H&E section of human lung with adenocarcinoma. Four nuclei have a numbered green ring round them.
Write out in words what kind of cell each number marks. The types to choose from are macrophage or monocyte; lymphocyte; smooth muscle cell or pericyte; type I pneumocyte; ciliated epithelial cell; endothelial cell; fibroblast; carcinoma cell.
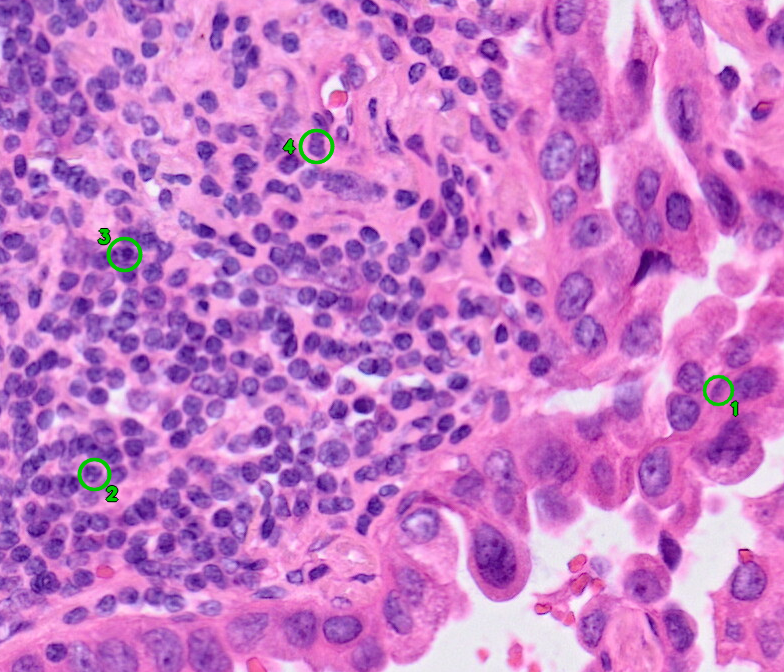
Cell 1 is a carcinoma cell, cell 2 is a lymphocyte, cell 3 is a lymphocyte and cell 4 is a lymphocyte.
